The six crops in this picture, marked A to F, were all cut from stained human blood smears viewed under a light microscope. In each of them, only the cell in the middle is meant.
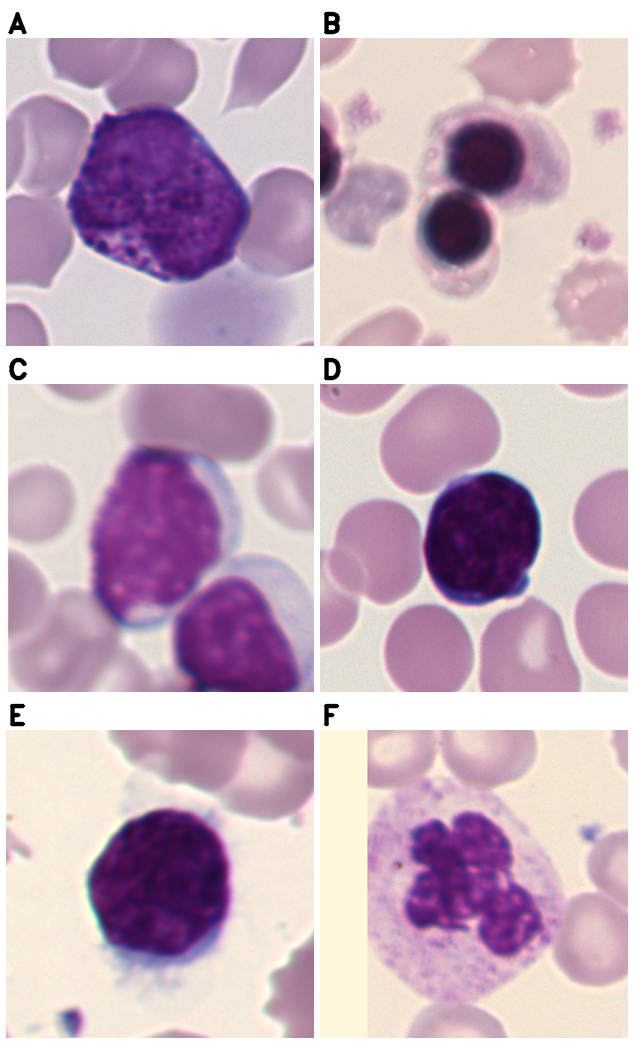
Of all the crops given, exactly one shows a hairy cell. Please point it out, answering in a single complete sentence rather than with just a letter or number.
Of all the crops, crop E is the one showing a hairy cell.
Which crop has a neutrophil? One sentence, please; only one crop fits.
Within this set, crop F is the one with a neutrophil at its center.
